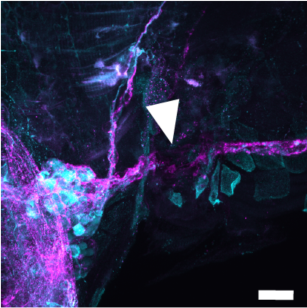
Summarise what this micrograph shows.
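A cluster of rounded cyan neuronal cell bodies lies in the lower left, surrounded by dense magenta fibres. The nerve bundle leaving toward the right is interrupted, with a gap in the fibres before labelled fibres resume further right.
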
